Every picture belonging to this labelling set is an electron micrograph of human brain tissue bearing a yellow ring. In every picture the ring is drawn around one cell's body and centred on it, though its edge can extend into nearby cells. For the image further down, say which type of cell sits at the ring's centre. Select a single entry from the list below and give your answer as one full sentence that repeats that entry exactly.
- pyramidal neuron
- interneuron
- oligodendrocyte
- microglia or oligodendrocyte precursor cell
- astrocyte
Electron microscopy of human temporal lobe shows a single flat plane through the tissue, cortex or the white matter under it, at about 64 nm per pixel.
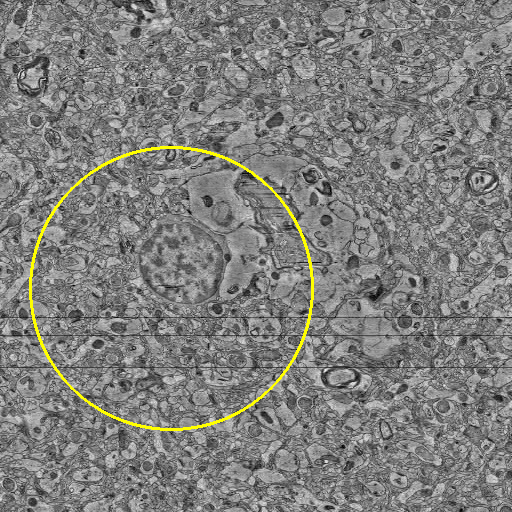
In the picture, an oligodendrocyte is the cell at the centre of the yellow ring.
